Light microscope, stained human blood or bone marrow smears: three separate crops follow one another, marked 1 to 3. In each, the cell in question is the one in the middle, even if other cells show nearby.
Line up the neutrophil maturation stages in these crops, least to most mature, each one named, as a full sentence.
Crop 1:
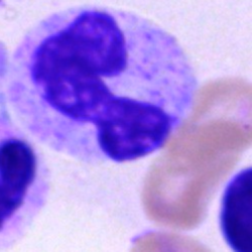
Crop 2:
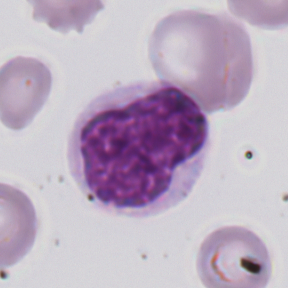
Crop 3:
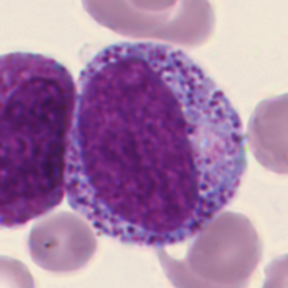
Sequenced by maturity from least to most, the crops are crop 3 (a promyelocyte), crop 2 (a metamyelocyte) and crop 1 (a band neutrophil).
